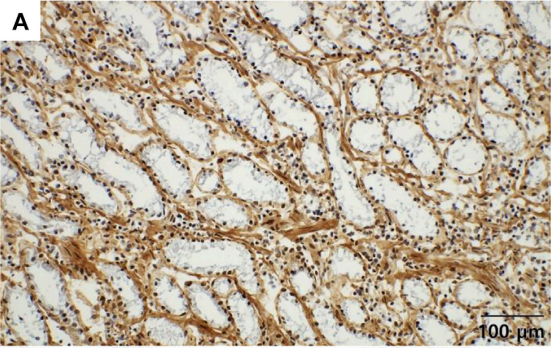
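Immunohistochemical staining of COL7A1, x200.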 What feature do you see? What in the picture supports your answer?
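Regular round and tubular glands evenly spaced. Each gland is lined by a single layer of pale cells with small basal nuclei. The answer: normal glands.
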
